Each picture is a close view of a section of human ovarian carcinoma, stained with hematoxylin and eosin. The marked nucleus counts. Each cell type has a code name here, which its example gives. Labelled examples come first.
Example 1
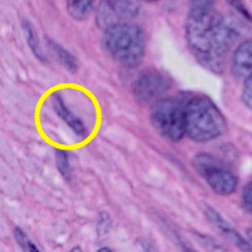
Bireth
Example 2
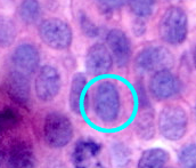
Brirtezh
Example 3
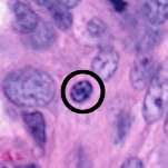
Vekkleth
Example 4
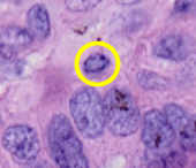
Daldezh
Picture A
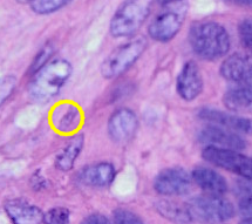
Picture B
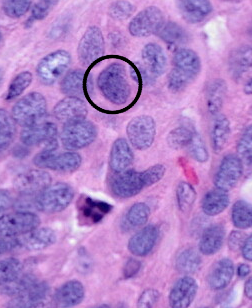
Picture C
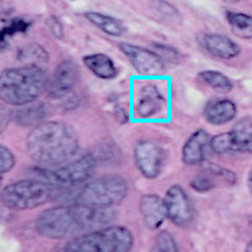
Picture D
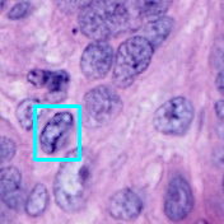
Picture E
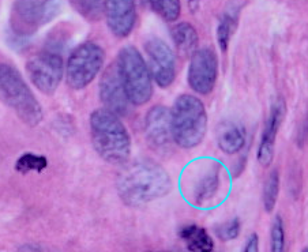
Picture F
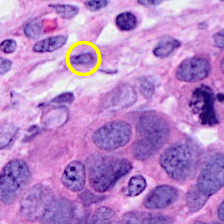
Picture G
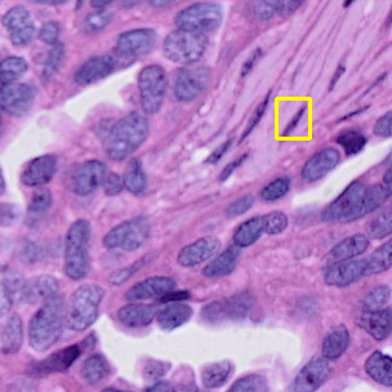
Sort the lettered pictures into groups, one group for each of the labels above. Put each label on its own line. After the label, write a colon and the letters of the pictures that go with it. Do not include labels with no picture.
Bireth: A, C, E, G
Brirtezh: B
Daldezh: D, F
